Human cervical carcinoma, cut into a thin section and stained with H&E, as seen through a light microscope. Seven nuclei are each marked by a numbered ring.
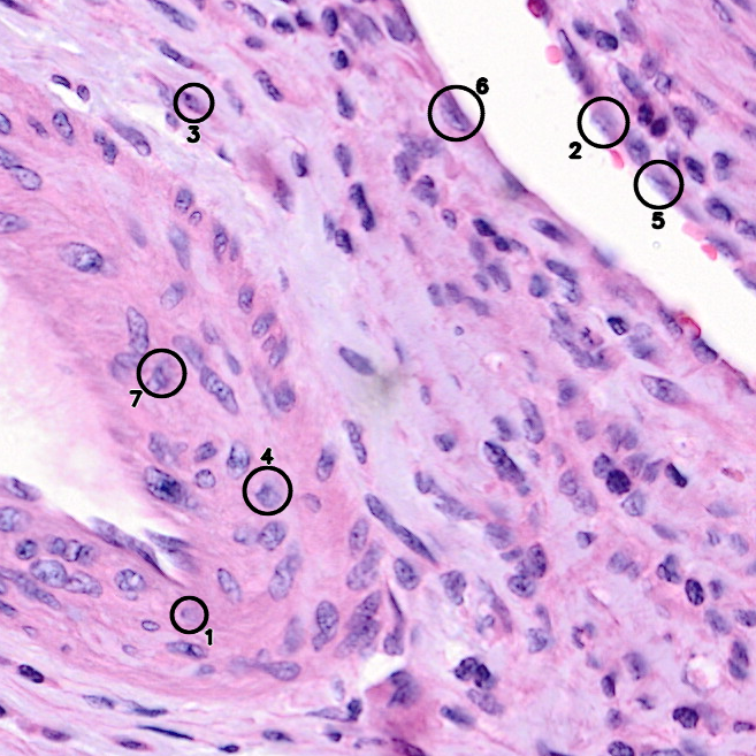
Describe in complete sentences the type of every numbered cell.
Cells 1, 3, 4 and 7 are smooth muscle cells. Cells 2, 5 and 6 are endothelial cells.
